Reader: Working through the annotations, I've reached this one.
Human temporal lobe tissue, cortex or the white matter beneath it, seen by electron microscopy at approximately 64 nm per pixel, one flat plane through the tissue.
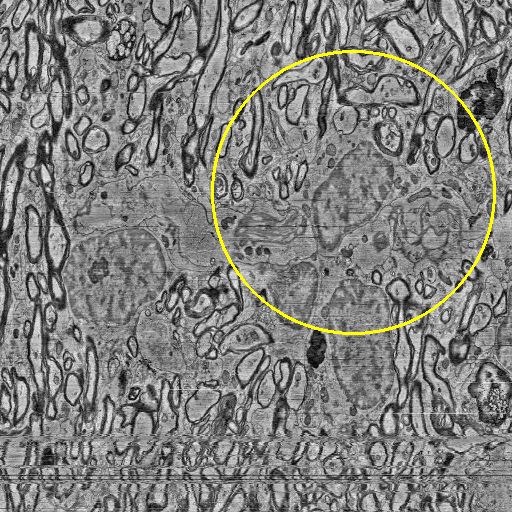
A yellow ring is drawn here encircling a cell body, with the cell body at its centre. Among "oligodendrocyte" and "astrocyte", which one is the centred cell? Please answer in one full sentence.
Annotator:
The cell body at the centre of the yellow ring in this image belongs to an oligodendrocyte.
